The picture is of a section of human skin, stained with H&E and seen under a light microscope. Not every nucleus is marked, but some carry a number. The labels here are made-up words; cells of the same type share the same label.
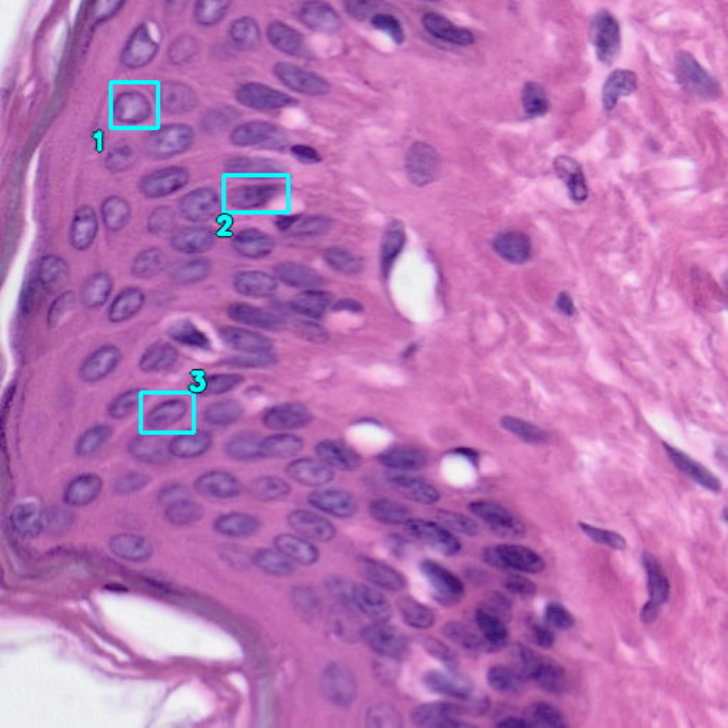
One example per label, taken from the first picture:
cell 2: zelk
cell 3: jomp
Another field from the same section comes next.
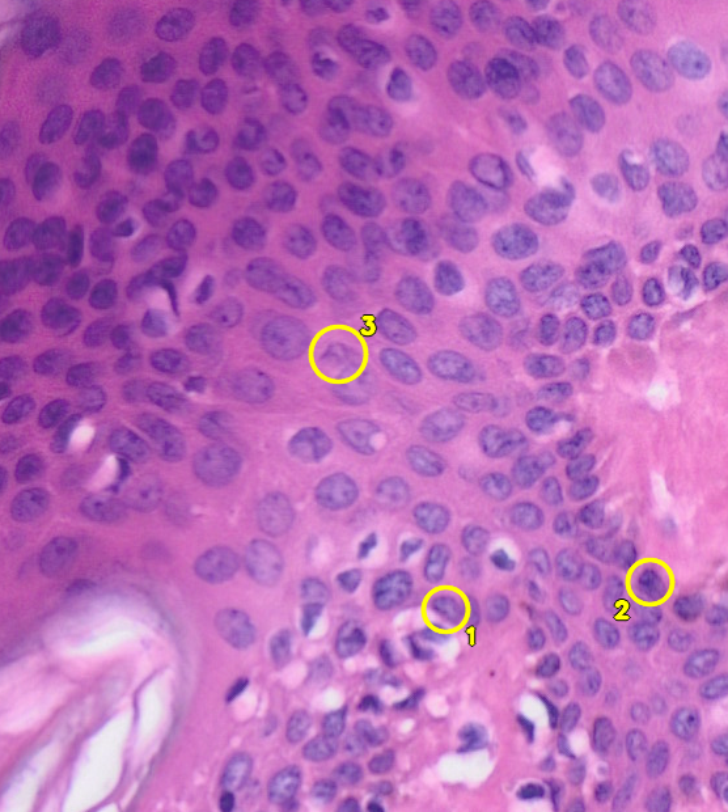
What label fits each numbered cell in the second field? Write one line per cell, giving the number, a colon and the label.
1: zelk
2: zelk
3: jomp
